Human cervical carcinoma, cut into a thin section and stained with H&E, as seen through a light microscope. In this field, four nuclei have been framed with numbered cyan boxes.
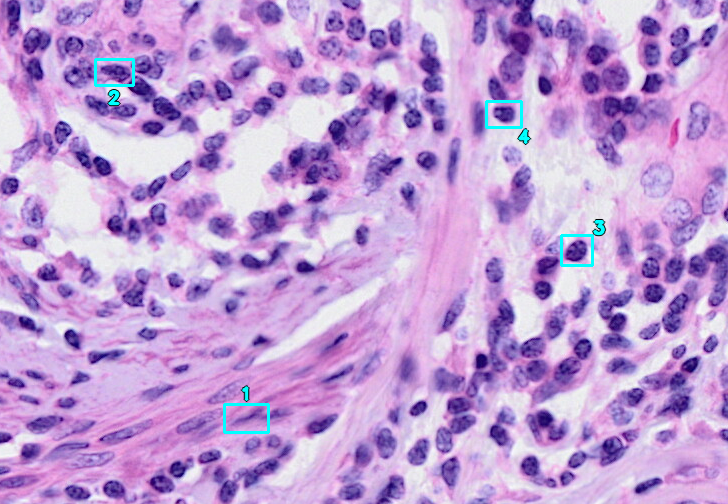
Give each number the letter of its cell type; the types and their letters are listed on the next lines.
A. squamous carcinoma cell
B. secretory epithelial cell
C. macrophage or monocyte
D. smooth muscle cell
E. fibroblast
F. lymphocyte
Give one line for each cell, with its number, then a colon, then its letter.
1: D
2: F
3: F
4: F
